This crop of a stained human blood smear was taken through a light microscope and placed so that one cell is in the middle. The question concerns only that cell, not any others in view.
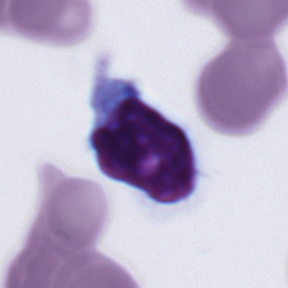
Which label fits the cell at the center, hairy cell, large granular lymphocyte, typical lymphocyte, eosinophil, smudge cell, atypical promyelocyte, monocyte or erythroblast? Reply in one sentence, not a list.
The cell in the exact centre of the crop is a typical lymphocyte.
